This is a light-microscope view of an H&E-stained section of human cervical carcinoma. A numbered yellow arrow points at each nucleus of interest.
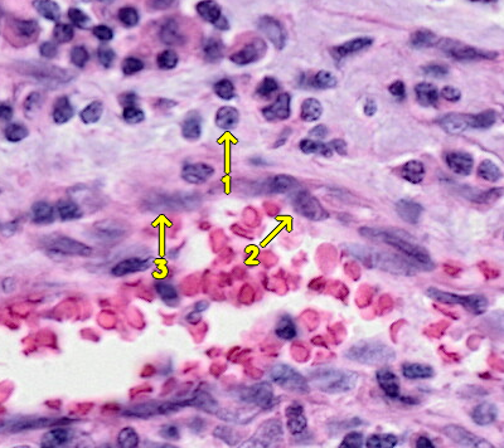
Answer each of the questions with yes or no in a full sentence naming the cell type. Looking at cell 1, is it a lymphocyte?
Yes, the cell distinguished by number 1 is a lymphocyte.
